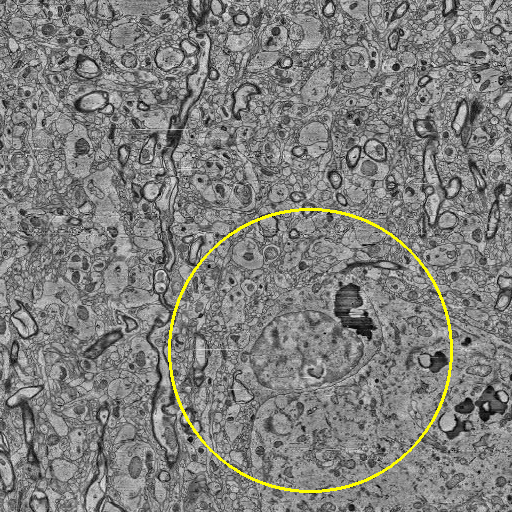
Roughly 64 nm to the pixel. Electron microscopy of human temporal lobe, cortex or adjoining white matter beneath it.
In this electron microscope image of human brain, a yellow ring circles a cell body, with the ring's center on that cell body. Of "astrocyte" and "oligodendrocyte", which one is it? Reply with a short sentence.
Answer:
It is an oligodendrocyte at the center of the ring.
